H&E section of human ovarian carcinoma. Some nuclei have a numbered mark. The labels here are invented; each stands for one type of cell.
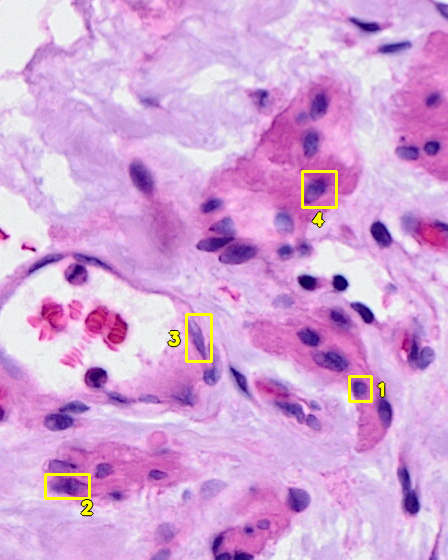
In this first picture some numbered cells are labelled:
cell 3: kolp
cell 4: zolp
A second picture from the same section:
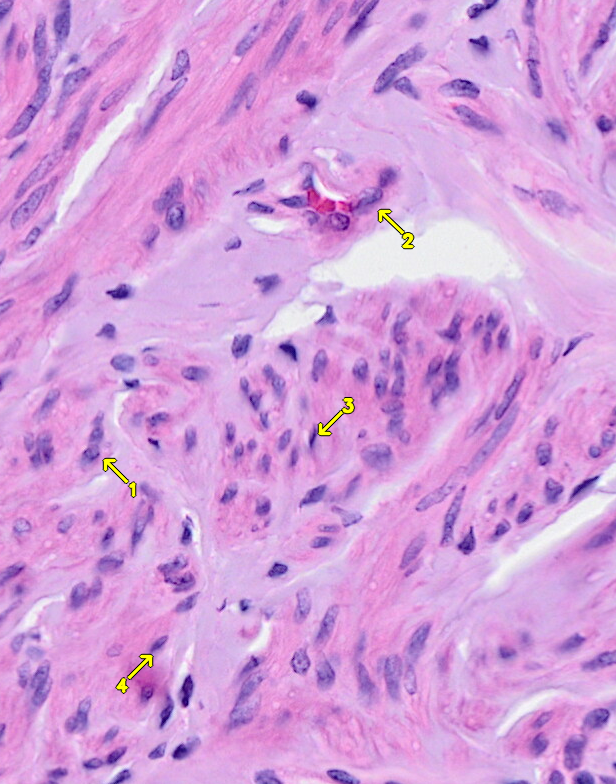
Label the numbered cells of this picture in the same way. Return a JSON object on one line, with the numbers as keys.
{"1": "zolp", "2": "kolp", "3": "zolp", "4": "zolp"}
